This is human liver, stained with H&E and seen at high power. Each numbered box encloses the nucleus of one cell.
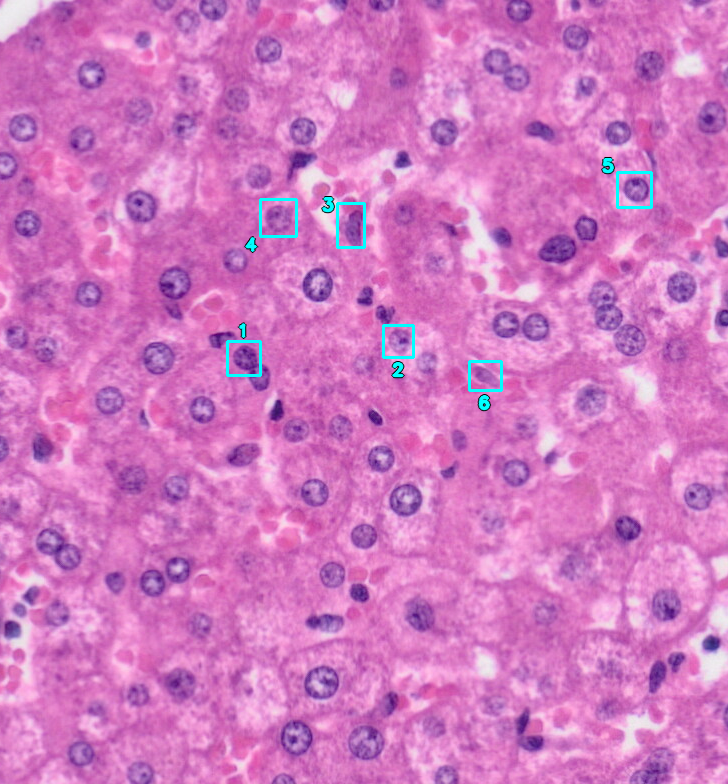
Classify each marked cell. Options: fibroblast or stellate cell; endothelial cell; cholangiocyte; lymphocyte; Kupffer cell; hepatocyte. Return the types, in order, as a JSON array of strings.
["hepatocyte", "hepatocyte", "Kupffer cell", "hepatocyte", "hepatocyte", "Kupffer cell"]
